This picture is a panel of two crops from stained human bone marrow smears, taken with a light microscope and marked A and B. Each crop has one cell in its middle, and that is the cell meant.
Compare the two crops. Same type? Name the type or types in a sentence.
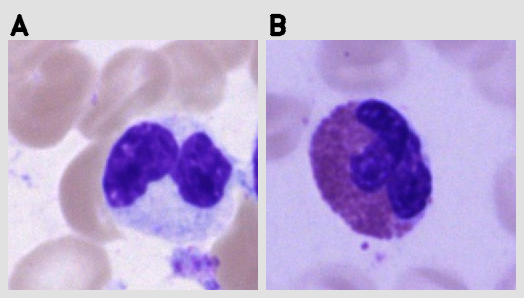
No, within crop A lies a segmented neutrophil, and within crop B lies an eosinophil.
